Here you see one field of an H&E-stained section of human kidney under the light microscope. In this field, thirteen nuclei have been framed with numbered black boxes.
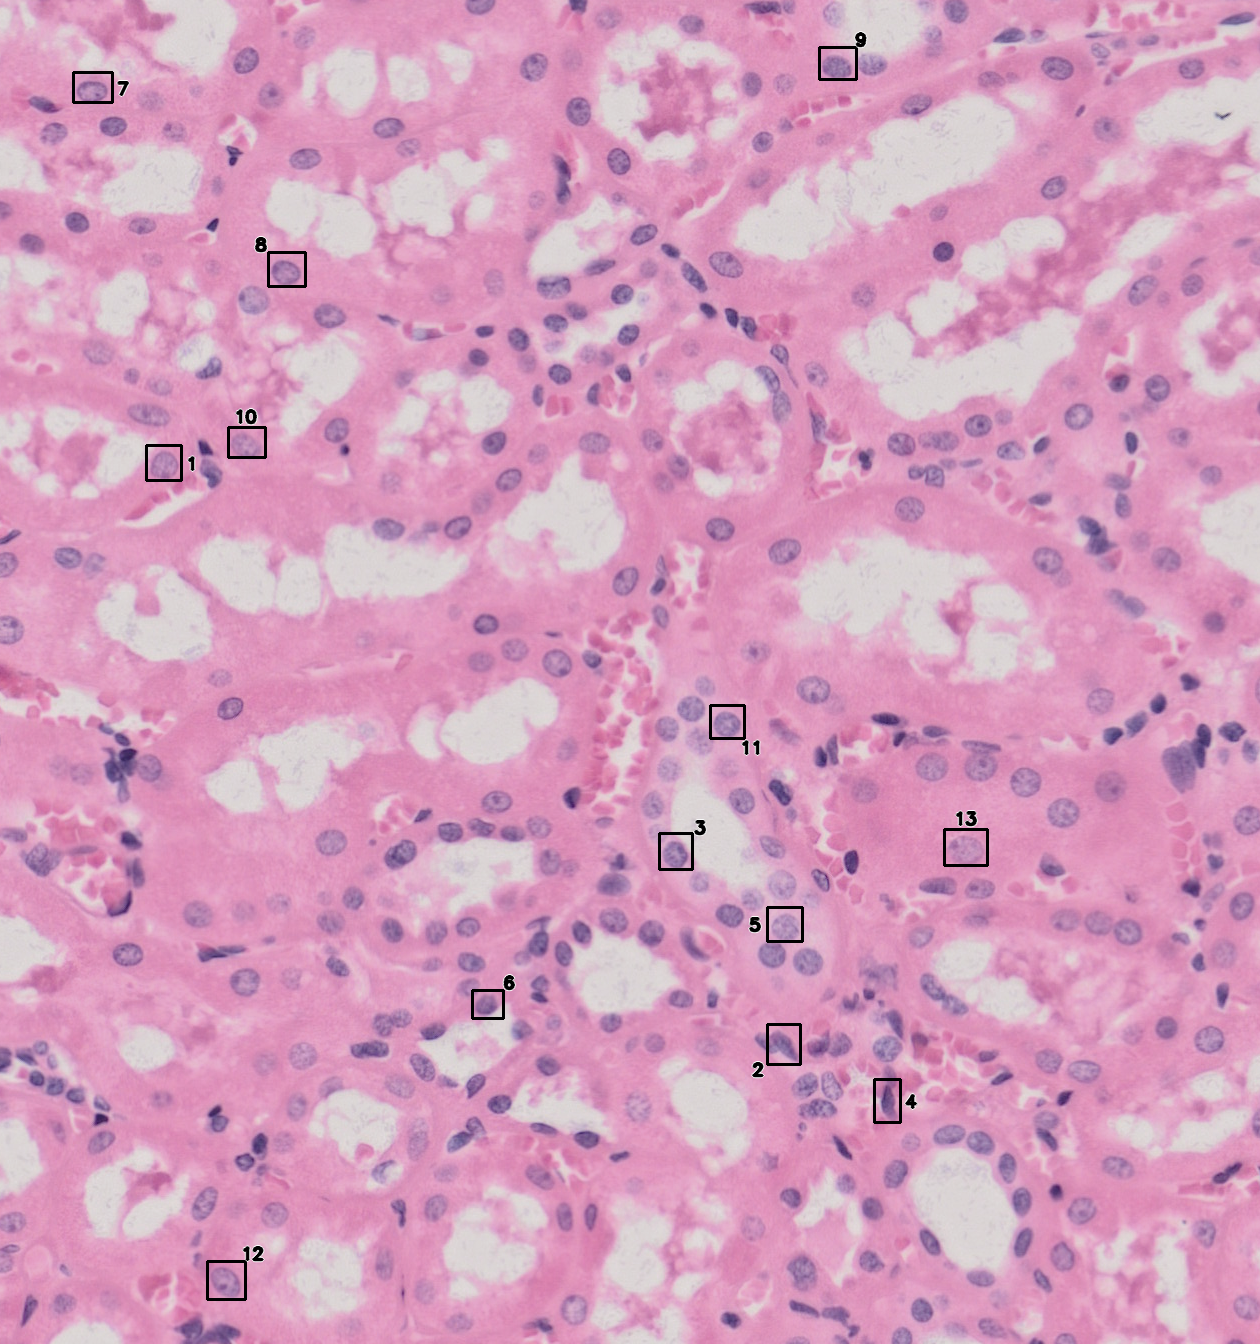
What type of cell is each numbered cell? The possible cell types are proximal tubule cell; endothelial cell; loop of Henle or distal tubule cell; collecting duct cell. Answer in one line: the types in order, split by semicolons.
proximal tubule cell; endothelial cell; collecting duct cell; endothelial cell; collecting duct cell; loop of Henle or distal tubule cell; proximal tubule cell; proximal tubule cell; loop of Henle or distal tubule cell; proximal tubule cell; collecting duct cell; proximal tubule cell; proximal tubule cell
